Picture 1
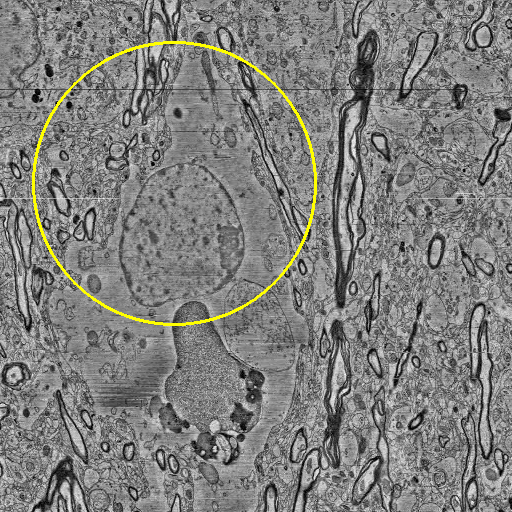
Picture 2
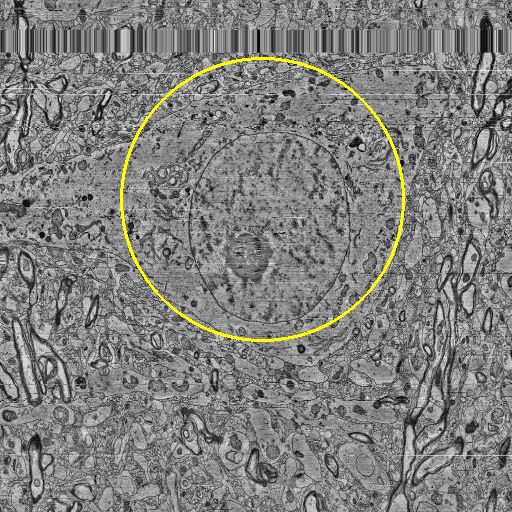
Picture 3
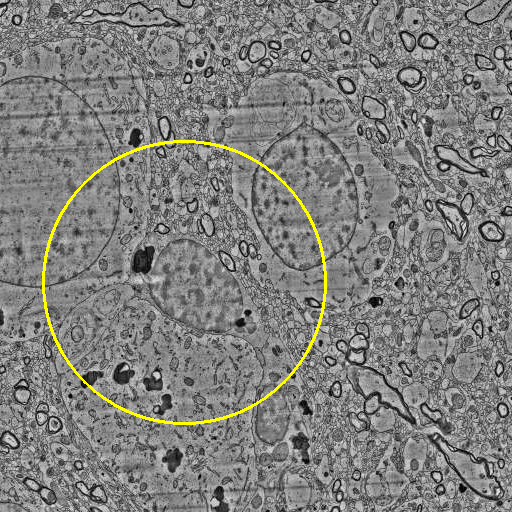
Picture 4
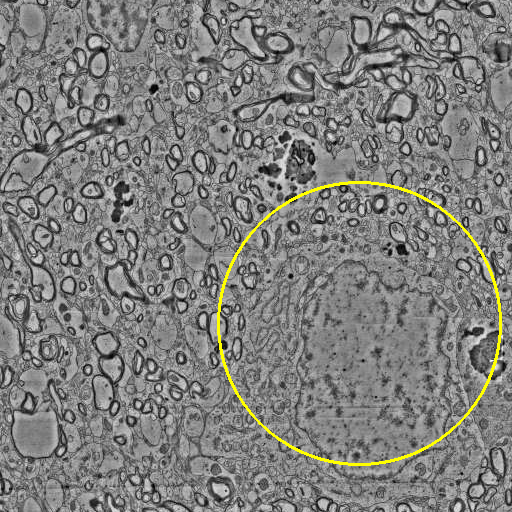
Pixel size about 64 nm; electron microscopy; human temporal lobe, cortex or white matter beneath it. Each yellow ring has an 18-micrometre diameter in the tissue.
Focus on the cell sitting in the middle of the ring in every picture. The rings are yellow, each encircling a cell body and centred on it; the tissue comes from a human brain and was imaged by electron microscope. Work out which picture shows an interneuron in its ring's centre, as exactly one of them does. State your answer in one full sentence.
In picture 4, the ring is centred on the cell in question.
